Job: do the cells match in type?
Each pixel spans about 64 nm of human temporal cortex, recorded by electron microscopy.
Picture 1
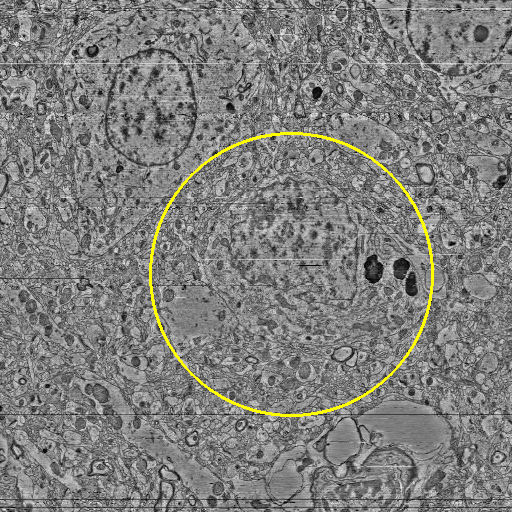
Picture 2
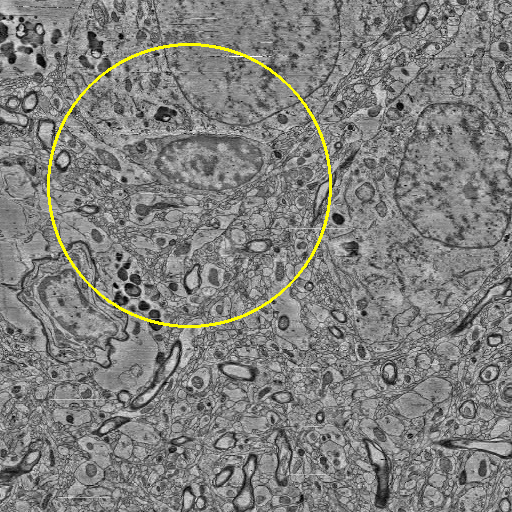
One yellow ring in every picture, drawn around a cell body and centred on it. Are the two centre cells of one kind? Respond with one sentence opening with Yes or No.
No, the ringed cells in the two pictures are of two separate kinds.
